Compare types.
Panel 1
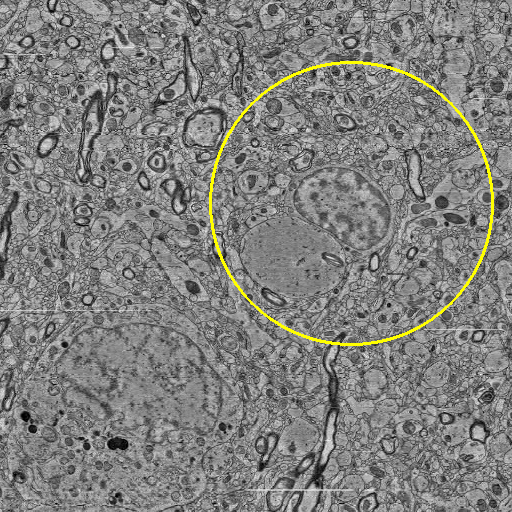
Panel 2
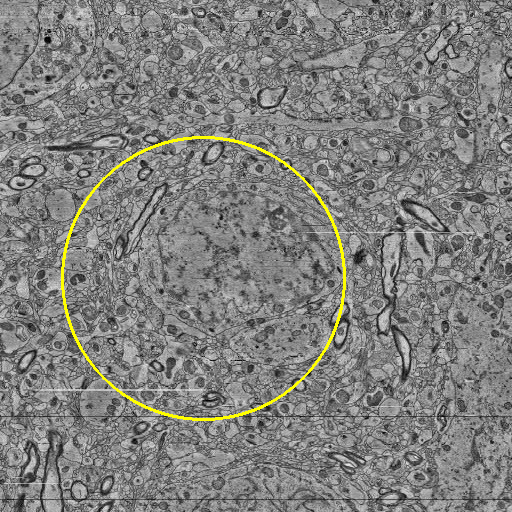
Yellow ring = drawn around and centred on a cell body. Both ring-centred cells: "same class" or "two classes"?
two classes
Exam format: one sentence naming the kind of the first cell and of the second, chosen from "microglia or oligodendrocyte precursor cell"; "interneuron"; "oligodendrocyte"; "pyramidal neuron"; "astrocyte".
The first picture's cell is an oligodendrocyte, and the second picture's cell is an interneuron.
